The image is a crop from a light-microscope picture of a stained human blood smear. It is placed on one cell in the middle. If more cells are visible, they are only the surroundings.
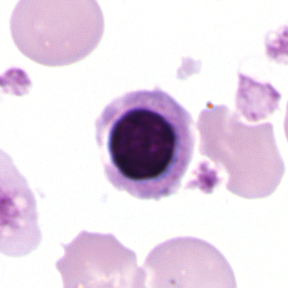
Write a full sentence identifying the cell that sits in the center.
The cell sitting right in the middle is a normoblast.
